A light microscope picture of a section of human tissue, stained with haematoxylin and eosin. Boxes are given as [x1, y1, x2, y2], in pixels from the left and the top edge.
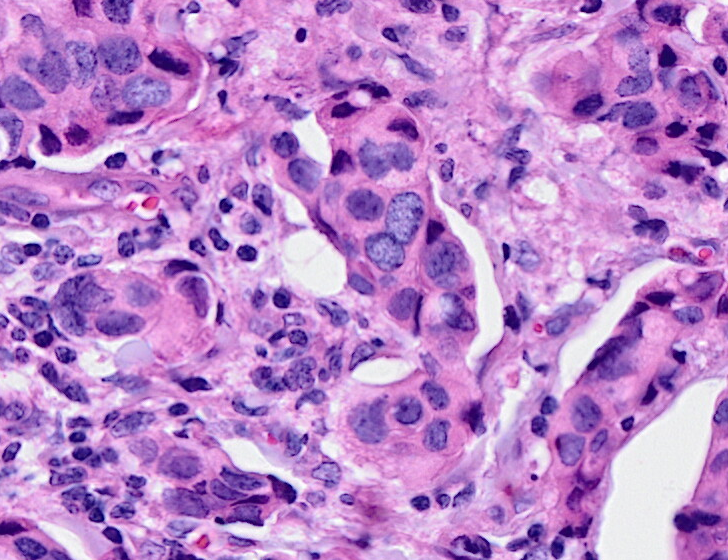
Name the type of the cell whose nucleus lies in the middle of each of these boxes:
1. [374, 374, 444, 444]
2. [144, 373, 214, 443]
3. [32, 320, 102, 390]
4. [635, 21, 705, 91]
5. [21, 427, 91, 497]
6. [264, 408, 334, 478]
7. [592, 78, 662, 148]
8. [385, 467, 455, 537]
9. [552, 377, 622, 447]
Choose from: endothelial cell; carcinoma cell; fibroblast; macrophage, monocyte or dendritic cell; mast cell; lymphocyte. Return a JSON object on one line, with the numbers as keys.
{"1": "carcinoma cell", "2": "lymphocyte", "3": "lymphocyte", "4": "carcinoma cell", "5": "lymphocyte", "6": "endothelial cell", "7": "carcinoma cell", "8": "lymphocyte", "9": "carcinoma cell"}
